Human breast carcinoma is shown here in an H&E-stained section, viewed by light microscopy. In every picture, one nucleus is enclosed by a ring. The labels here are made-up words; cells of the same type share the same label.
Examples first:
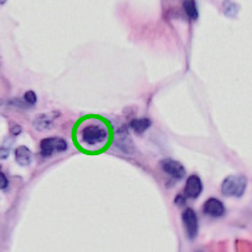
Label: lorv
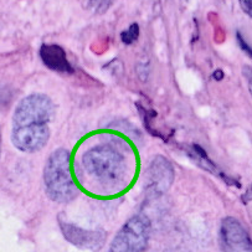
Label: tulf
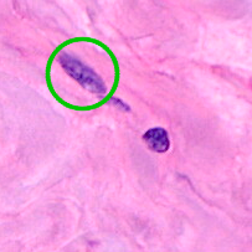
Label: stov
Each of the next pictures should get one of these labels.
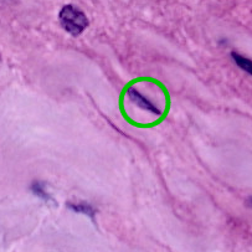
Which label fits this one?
stov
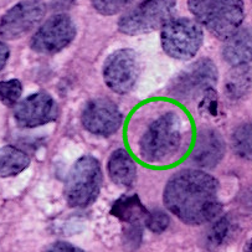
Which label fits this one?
tulf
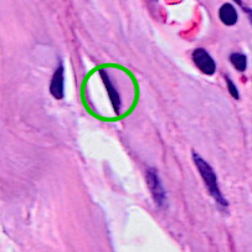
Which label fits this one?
stov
